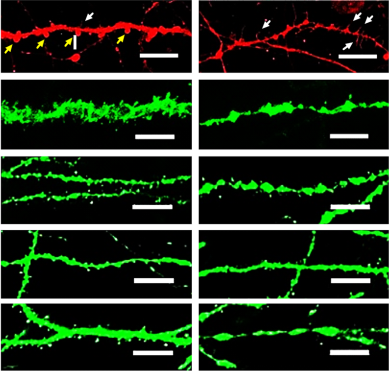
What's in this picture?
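Short segments of neuronal dendrites are shown, each a fluorescent shaft studded with small side protrusions, the dendritic spines. In the top row the dendrites are red; some spines end in a rounded head on a narrow neck, while others are long, thin and headless. In the rows below the dendrites are green, running horizontally across the field, with spines projecting on both sides as dots and short stubs. In the right-hand column the dendrites carry fewer spines, and some shafts show irregular widened, swollen stretches rather than an even calibre.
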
